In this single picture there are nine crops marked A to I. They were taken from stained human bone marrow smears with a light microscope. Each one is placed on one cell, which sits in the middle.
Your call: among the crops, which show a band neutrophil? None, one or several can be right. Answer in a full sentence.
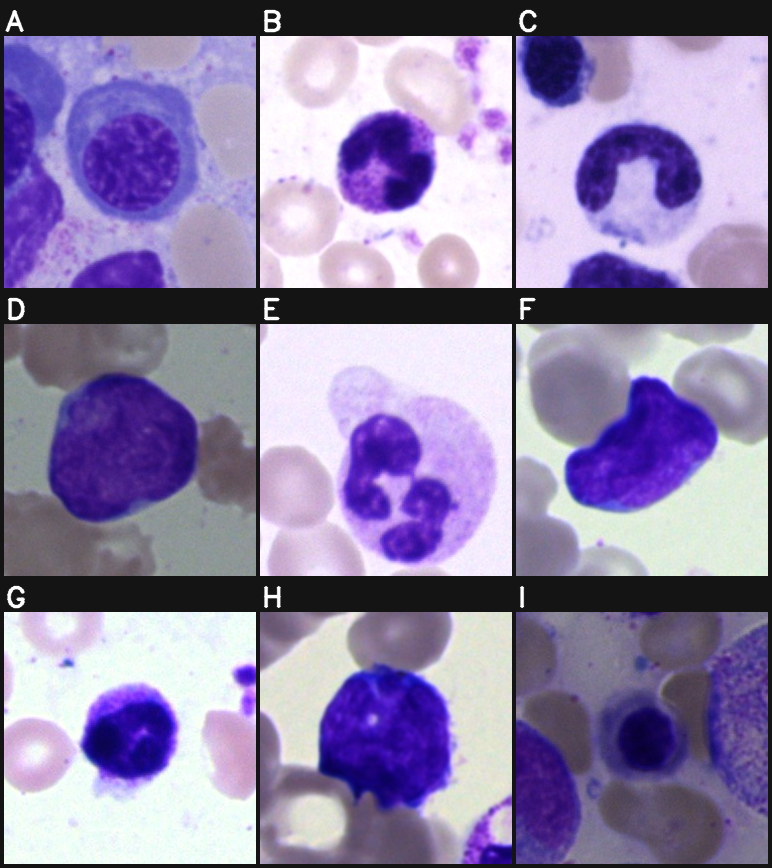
Crop C is the lone crop showing a band neutrophil.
